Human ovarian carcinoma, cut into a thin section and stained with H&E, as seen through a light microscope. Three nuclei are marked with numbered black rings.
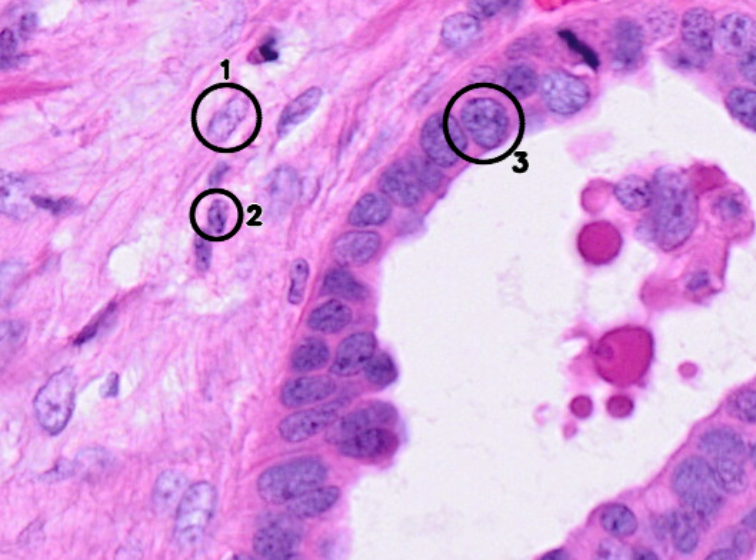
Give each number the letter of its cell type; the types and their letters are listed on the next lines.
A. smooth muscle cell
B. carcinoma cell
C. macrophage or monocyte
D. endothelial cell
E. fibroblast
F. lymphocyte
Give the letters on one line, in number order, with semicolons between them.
E; F; B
